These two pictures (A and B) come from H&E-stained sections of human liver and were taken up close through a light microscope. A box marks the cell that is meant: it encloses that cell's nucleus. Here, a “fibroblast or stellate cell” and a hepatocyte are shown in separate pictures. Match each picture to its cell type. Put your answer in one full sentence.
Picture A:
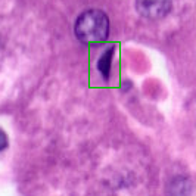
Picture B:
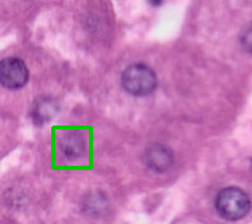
Picture A shows a “fibroblast or stellate cell” and picture B shows a hepatocyte.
